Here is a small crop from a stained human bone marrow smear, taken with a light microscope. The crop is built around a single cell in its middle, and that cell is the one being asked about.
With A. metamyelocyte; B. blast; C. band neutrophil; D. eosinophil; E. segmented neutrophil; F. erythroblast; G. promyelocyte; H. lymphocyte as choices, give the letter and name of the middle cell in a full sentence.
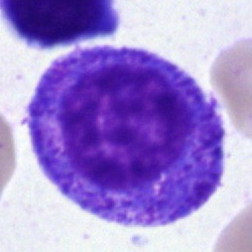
The one cell at the centre is a promyelocyte, as correctly stated in option G.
